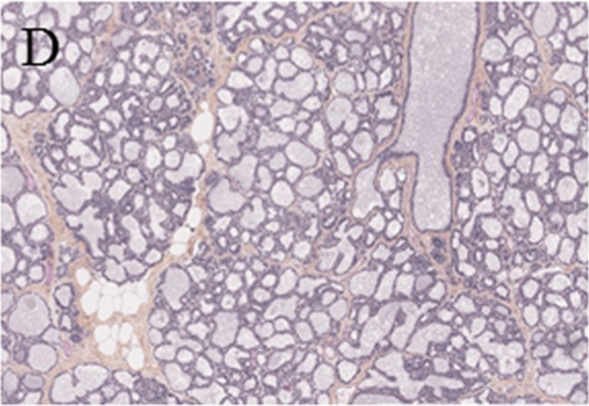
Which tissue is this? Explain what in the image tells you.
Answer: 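Mammary gland. Densely packed rounded alveoli with pale secretion in their lumens. An elongated duct filled with pale material runs through the tissue. A cluster of empty white fat cells lies in the connective tissue between lobules.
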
